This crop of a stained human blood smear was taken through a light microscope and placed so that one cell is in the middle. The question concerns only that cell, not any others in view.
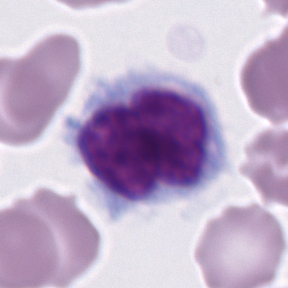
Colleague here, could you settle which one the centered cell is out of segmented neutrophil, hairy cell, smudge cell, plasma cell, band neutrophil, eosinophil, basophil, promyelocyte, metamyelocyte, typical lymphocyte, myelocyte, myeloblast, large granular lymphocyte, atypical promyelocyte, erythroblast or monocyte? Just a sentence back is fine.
The crop's centre is taken up by a hairy cell.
